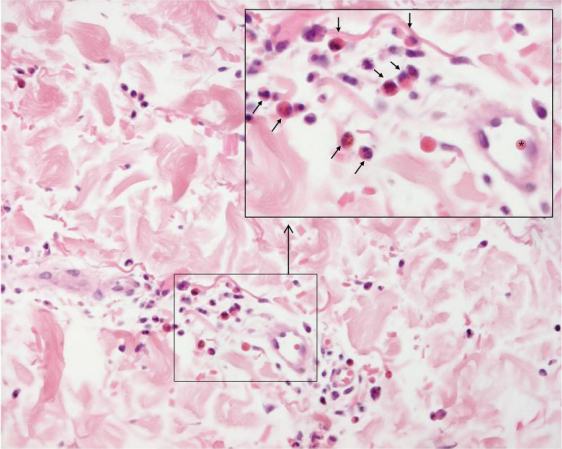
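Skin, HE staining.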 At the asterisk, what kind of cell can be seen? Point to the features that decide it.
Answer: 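The marked body is small, round and pink without a nucleus. It sits inside a lumen lined by flattened cells. On this evidence: erythrocyte.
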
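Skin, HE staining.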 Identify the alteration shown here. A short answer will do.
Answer: perivascular infiltration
